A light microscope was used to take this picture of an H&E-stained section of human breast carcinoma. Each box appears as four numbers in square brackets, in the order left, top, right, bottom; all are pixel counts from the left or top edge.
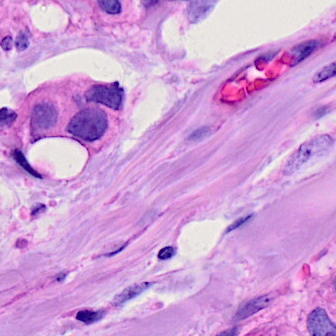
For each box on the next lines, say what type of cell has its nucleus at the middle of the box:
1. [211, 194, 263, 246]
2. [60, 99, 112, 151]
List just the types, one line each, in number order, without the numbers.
fibroblast
carcinoma cell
